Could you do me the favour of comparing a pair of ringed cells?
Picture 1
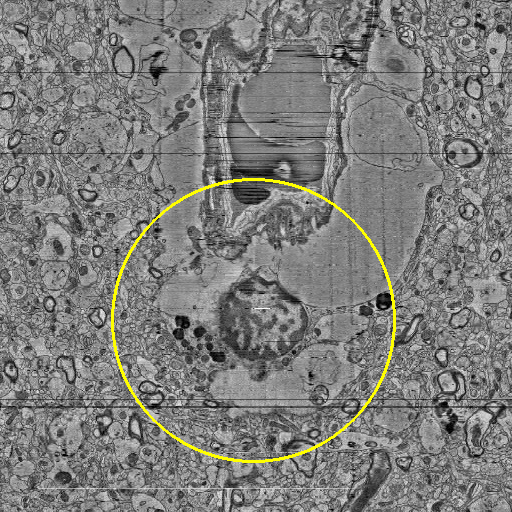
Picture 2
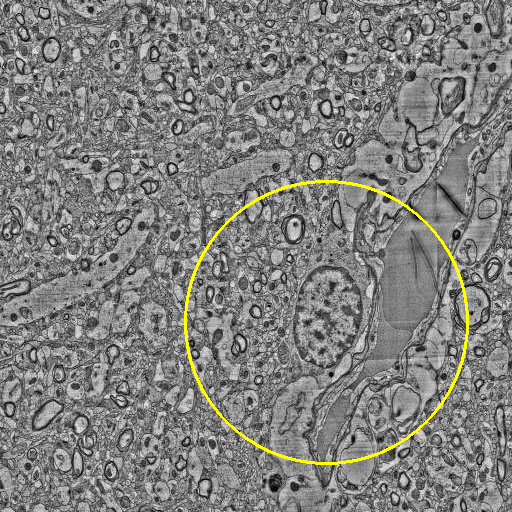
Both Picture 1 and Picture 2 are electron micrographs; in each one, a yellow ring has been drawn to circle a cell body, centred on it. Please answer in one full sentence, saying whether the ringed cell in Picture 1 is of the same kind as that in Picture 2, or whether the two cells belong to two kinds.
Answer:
The ringed cells in Picture 1 and Picture 2 belong to two kinds.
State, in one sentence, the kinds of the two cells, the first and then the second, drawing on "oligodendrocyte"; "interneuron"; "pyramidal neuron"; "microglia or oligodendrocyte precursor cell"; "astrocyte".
The ring in the second picture is centred on an oligodendrocyte, the ring in the first on a microglial cell or oligodendrocyte precursor cell.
